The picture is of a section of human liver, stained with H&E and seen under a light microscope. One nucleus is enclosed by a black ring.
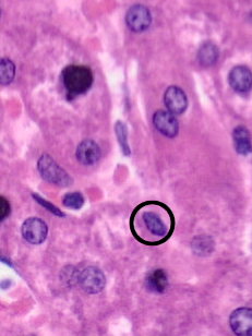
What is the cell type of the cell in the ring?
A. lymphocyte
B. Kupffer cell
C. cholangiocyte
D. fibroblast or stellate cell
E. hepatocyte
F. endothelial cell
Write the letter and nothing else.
D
